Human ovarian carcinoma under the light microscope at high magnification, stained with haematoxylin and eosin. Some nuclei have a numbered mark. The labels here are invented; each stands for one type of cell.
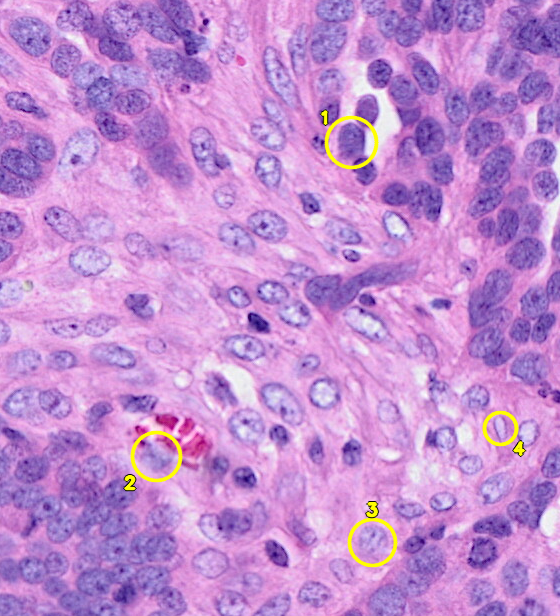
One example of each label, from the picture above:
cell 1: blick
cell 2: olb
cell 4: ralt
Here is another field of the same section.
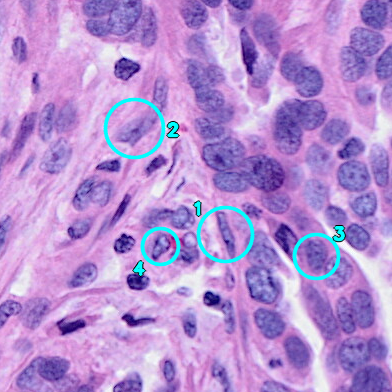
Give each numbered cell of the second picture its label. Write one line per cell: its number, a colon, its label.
1: ralt
2: ralt
3: blick
4: olb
